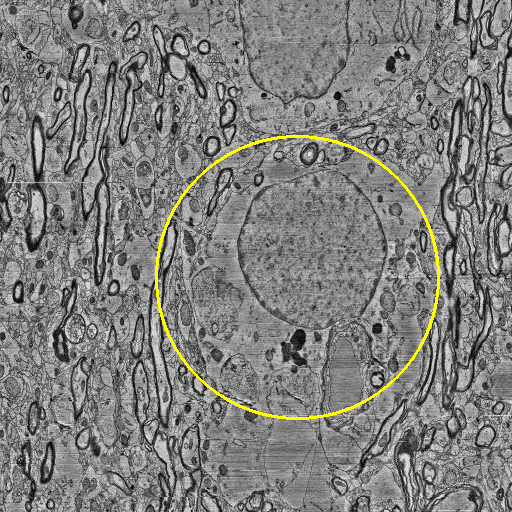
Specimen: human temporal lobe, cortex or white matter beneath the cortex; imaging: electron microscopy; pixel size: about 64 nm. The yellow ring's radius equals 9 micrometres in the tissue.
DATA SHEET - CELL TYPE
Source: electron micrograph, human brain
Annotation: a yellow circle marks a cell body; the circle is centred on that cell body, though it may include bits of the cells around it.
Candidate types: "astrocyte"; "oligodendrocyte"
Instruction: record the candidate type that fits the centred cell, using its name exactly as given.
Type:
astrocyte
